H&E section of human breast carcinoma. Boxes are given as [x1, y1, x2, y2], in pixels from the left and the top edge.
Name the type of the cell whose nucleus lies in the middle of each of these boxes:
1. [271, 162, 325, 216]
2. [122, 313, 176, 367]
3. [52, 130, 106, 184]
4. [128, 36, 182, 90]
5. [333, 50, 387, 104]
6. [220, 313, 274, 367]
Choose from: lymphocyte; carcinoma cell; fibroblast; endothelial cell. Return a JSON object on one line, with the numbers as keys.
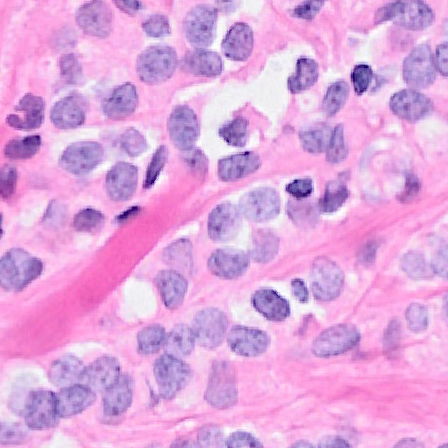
{"1": "lymphocyte", "2": "carcinoma cell", "3": "carcinoma cell", "4": "carcinoma cell", "5": "lymphocyte", "6": "carcinoma cell"}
